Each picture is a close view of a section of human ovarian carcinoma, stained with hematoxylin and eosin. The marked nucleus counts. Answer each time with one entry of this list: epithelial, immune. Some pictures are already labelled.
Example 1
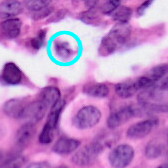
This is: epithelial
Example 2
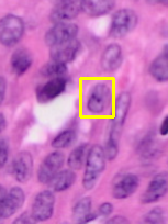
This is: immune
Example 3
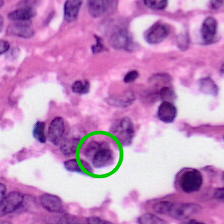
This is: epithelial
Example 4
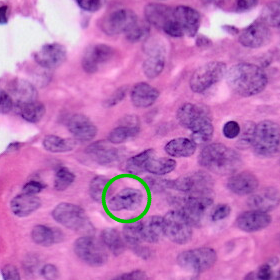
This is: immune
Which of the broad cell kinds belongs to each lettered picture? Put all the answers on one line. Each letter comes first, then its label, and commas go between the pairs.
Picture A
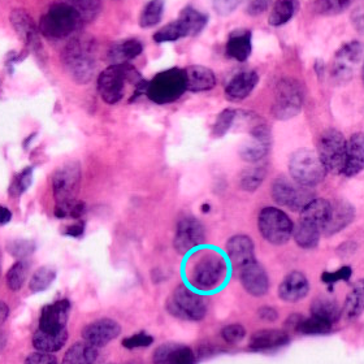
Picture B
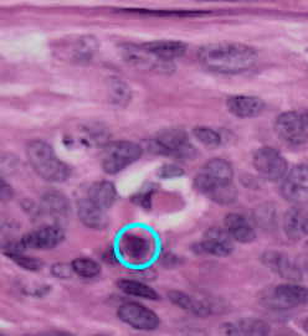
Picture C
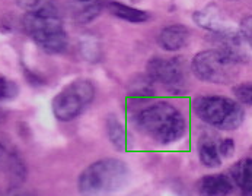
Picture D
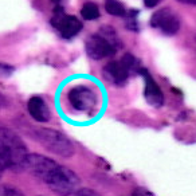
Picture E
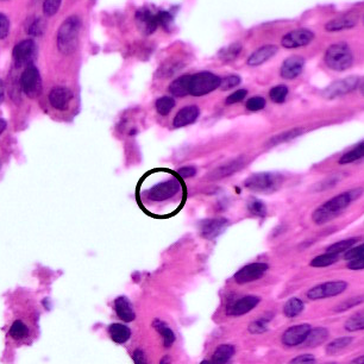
A epithelial, B epithelial, C epithelial, D immune, E epithelial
